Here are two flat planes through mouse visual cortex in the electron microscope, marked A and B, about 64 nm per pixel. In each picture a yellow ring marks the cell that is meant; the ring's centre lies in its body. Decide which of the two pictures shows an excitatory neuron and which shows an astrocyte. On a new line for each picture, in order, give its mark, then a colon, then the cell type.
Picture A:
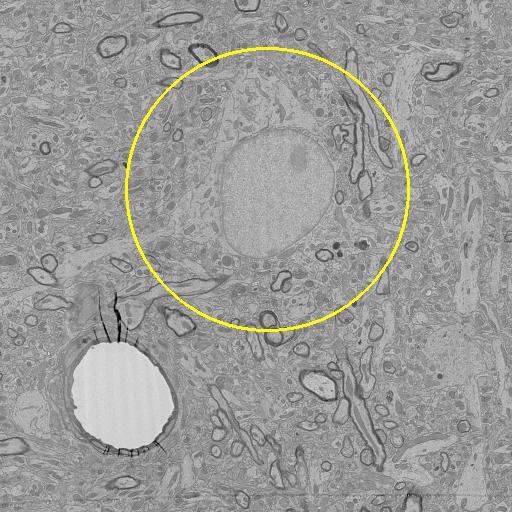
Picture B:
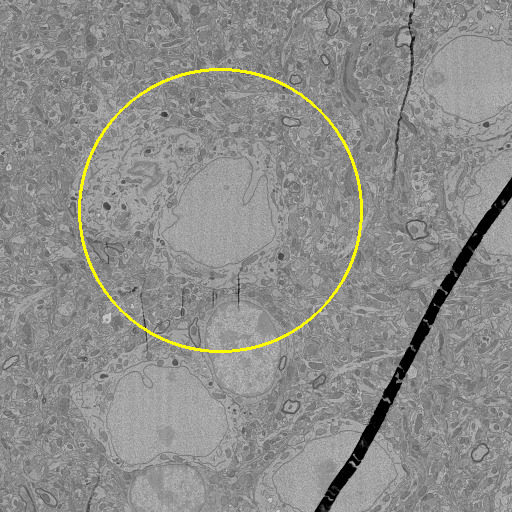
A: astrocyte
B: excitatory neuron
